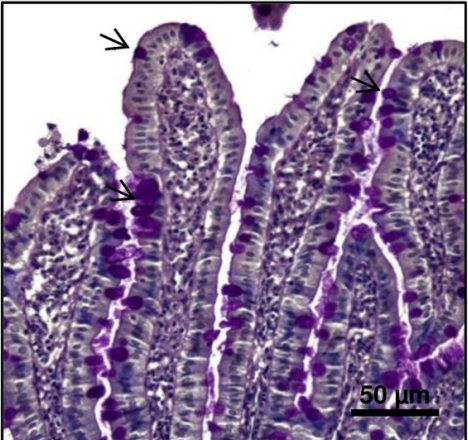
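This section shows intestinal villi lined by a simple columnar epithelium with scattered goblet cells stained purple. The villi are tall, finger-like projections. The absorptive cells are tall and pale, with elongated nuclei arranged in a row toward the base, and a thin brush-border line at the surface. Among them, individual goblet cells stand out by their rounded, cup-shaped, intensely purple mucin content. They are spaced apart along the sides and near the tips. The core of each villus is lamina propria, a loose connective tissue crowded with small, dark, round nuclei. There are narrow clefts between neighbouring villi.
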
